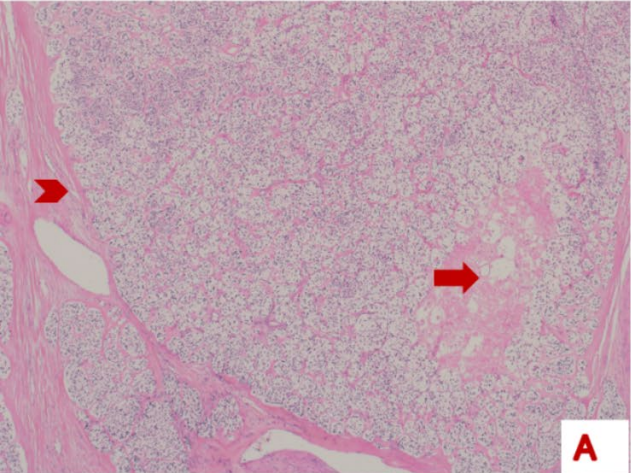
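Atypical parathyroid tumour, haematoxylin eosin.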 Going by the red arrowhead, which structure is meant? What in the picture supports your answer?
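The arrowhead points at a broad pink band of dense fibrous tissue. The band contains a blood vessel and separates lobules of tumour cells.
Hence: fibre bands.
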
